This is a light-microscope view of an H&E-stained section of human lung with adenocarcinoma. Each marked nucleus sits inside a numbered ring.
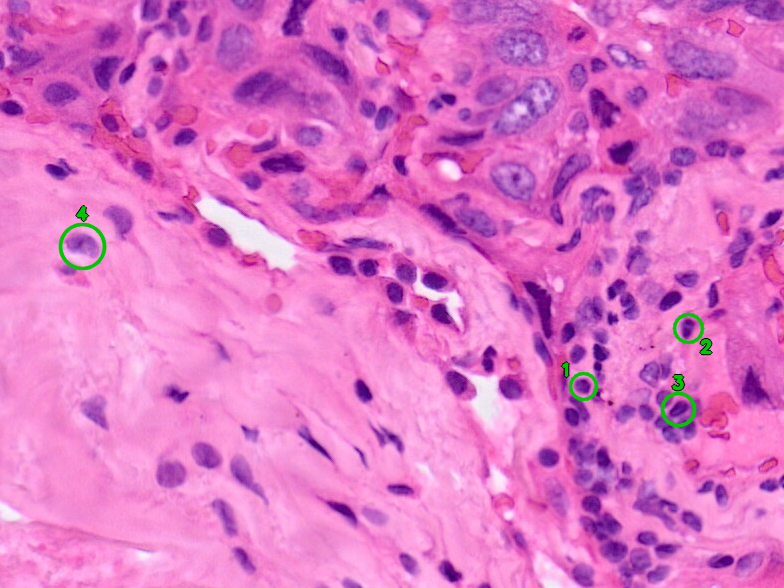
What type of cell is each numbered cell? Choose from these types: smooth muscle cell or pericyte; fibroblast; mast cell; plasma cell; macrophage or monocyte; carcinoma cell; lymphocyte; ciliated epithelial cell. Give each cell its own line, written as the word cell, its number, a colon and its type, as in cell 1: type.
cell 1: lymphocyte
cell 2: lymphocyte
cell 3: lymphocyte
cell 4: fibroblast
